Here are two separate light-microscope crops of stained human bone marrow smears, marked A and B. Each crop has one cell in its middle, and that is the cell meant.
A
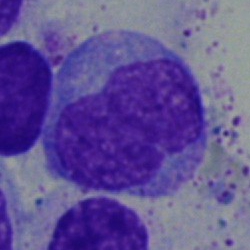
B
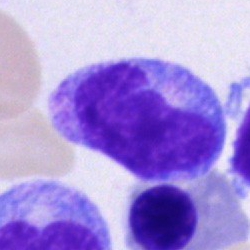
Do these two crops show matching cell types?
yes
